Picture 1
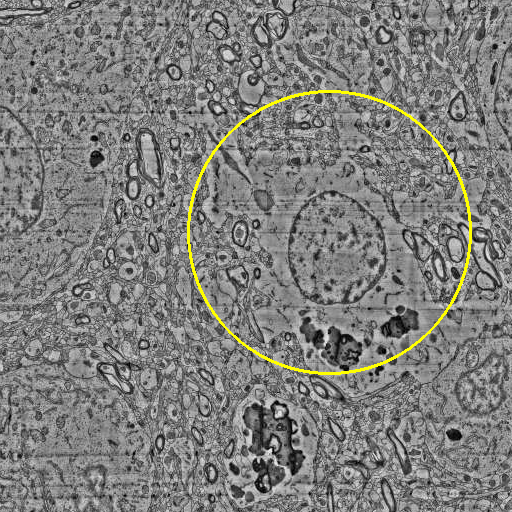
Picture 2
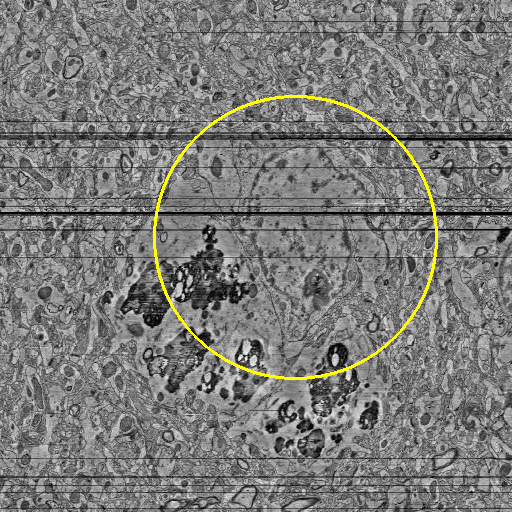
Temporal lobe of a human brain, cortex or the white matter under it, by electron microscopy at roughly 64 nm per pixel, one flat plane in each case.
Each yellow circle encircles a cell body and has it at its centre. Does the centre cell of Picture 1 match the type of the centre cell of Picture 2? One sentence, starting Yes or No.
No, the cell centred in Picture 1 and the one in Picture 2 have separate types.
